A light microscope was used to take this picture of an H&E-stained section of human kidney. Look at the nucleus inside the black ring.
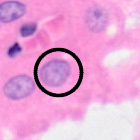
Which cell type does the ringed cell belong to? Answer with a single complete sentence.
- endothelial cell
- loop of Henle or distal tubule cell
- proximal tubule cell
Within this tissue, the ringed cell is a proximal tubule cell.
